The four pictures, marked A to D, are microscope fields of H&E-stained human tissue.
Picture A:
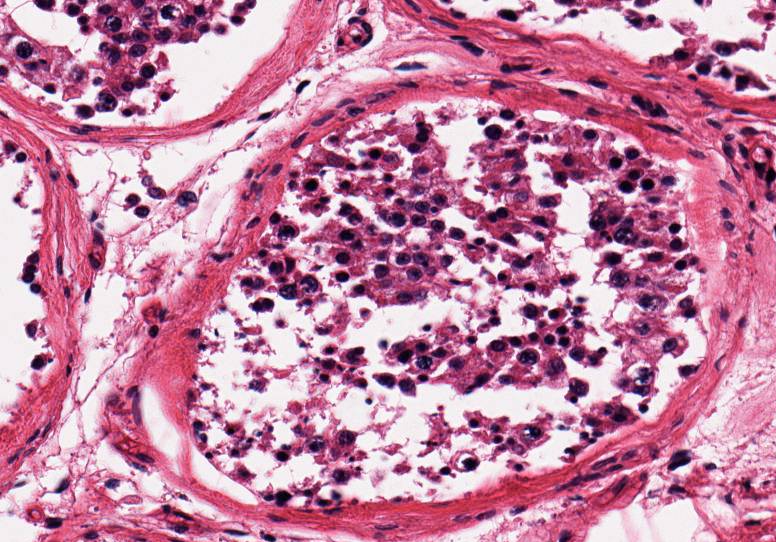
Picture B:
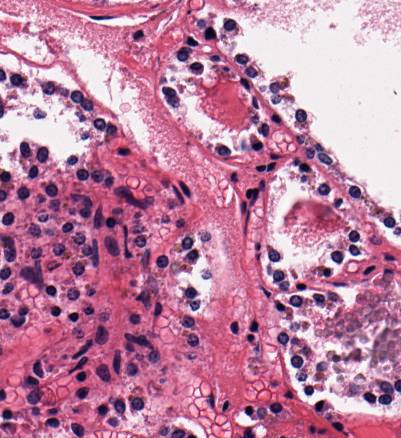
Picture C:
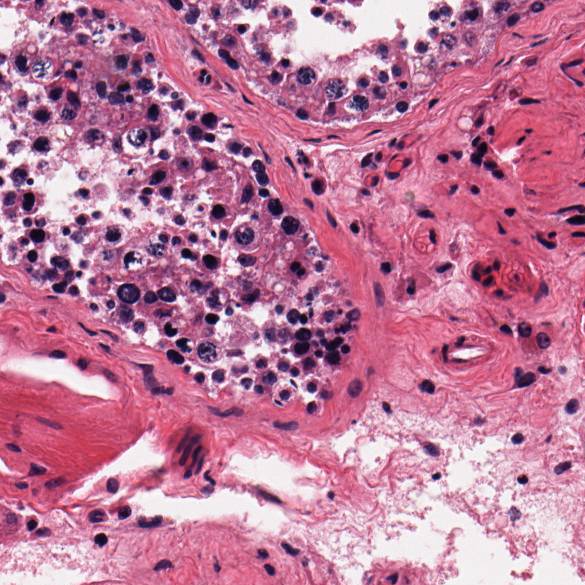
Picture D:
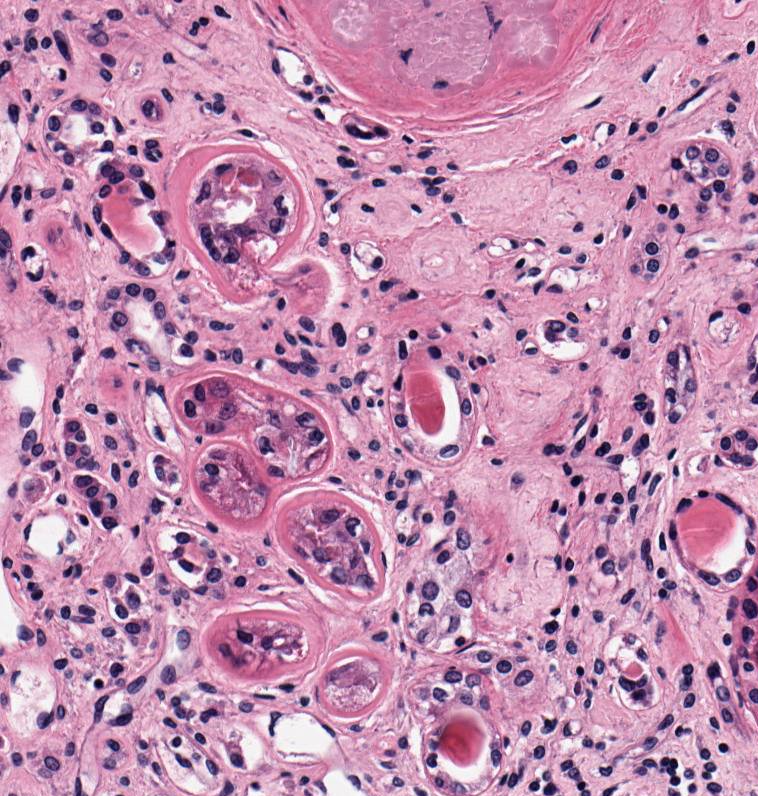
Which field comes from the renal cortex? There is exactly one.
D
